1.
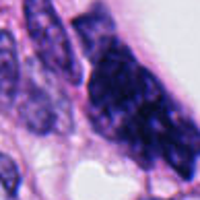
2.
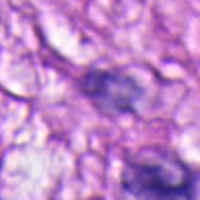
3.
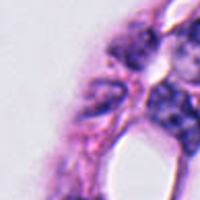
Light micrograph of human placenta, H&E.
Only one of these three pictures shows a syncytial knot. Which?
Picture 1.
